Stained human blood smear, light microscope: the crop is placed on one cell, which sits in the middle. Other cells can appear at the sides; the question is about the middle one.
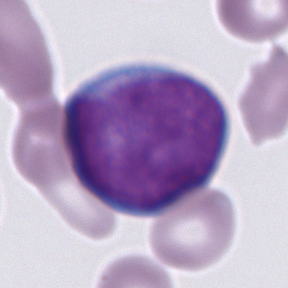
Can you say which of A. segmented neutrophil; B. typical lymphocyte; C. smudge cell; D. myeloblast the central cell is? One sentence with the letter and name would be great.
As the central cell is a myeloblast, option D is correct.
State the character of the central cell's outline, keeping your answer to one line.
Smooth outline, no projections: that is the whole story of its edge.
